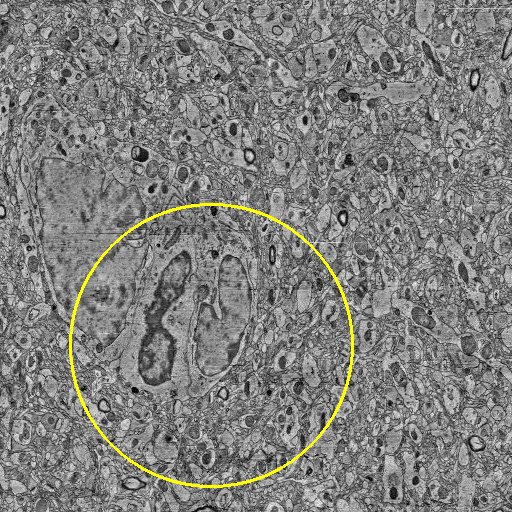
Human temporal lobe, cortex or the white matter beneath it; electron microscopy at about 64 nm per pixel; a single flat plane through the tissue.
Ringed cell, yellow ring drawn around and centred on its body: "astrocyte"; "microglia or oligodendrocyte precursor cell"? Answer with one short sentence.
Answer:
This ringed cell is a microglial cell or oligodendrocyte precursor cell.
